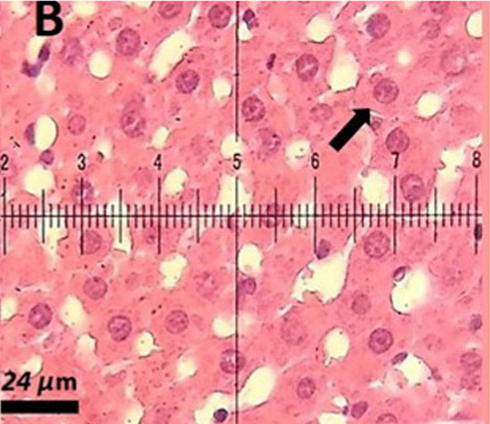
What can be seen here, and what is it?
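This is liver, with hepatocytes filling the field. They are large pink cells with round purple nuclei, and many of the nuclei show a small nucleolus. What stands out here is the number of clear, empty-looking spaces scattered among the cells. Some are round and some are drawn out and irregular, and together they give the tissue a bubbly, vacuolated look. A few small, dark, elongated nuclei lie at the margins of these spaces. Between the clear areas the pink cytoplasm of the hepatocytes looks finely grainy.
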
